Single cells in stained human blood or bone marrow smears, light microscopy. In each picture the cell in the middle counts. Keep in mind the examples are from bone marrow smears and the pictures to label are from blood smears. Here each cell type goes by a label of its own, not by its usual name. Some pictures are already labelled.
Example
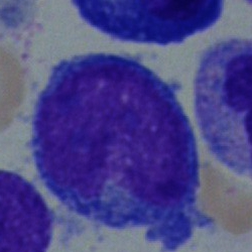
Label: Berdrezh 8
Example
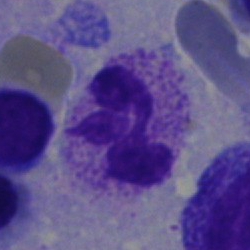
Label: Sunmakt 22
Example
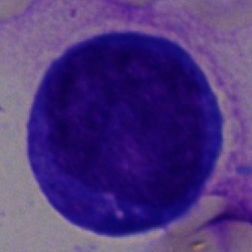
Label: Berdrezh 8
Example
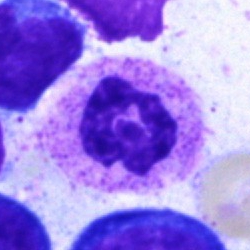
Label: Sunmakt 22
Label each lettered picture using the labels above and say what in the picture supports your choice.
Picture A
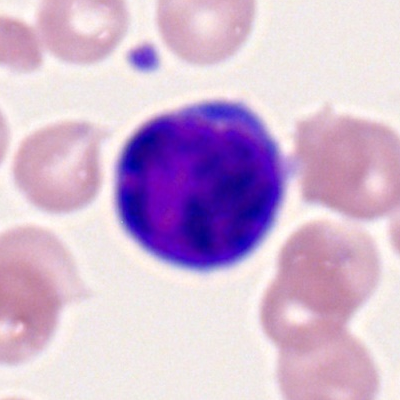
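Berdrezh 8: The nucleus fills almost the whole cell, leaving very little cytoplasm.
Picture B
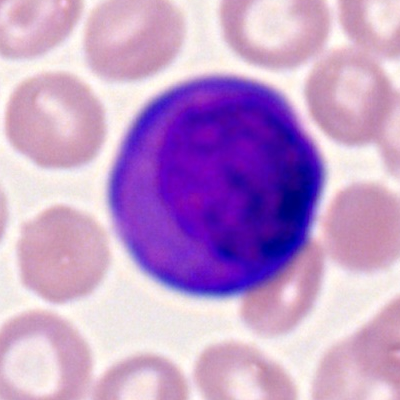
Berdrezh 8: The nucleus fills most of the cell.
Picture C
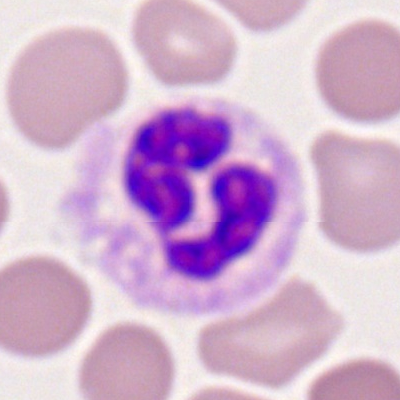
Sunmakt 22: The cytoplasm is plentiful and pale pinkish-lilac.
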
